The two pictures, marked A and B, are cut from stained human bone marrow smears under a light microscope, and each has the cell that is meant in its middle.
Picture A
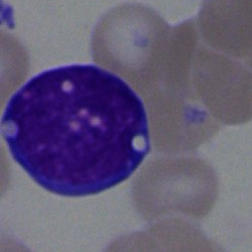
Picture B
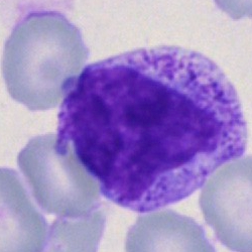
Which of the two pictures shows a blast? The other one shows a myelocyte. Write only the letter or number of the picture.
A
